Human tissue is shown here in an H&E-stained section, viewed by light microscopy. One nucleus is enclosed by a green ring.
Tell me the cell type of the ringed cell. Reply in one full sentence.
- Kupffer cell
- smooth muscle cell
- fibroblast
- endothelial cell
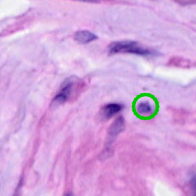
For the purposes of cell typing, the ringed cell is categorized as a smooth muscle cell.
